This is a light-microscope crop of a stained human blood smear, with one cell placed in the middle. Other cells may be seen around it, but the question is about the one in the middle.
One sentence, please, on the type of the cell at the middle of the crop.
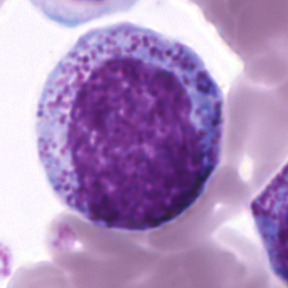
This crop is built around a promyelocyte at its centre.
